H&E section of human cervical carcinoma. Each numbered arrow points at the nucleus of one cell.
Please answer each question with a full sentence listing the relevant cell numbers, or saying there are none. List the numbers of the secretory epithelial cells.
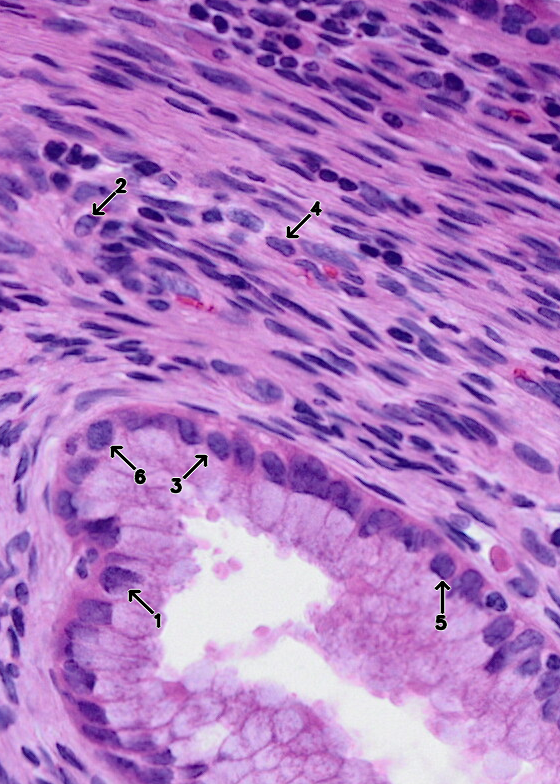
The cells whose numbers are 1, 3, 5 and 6 are secretory epithelial cells.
